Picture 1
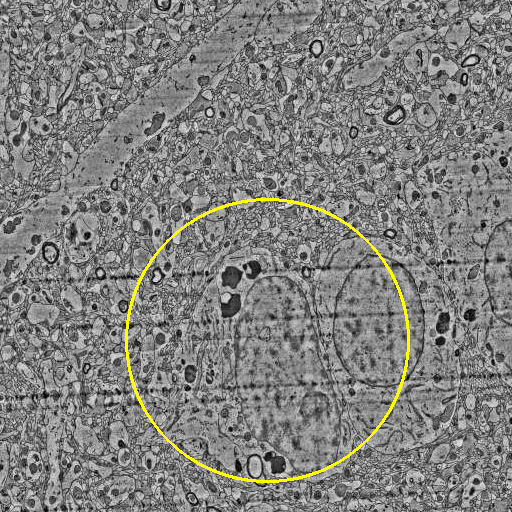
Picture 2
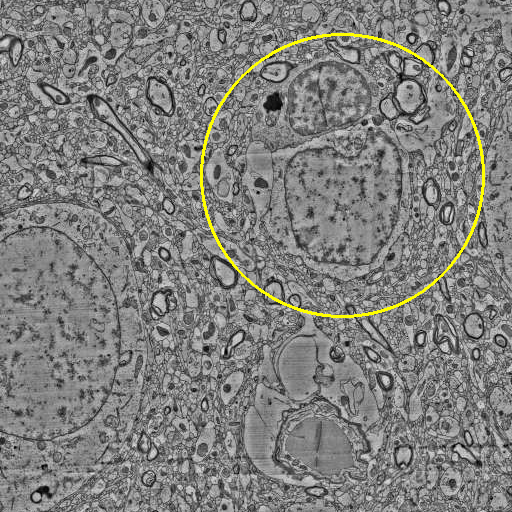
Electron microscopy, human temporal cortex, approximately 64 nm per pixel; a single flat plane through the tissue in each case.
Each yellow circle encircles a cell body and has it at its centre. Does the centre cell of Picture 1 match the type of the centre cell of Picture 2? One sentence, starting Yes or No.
Yes, the cell centred in Picture 1 and the one in Picture 2 share a type.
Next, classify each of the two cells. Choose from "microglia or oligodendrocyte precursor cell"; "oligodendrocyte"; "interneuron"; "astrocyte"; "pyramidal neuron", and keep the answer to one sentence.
Each cell at the centre of a ring is an interneuron.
